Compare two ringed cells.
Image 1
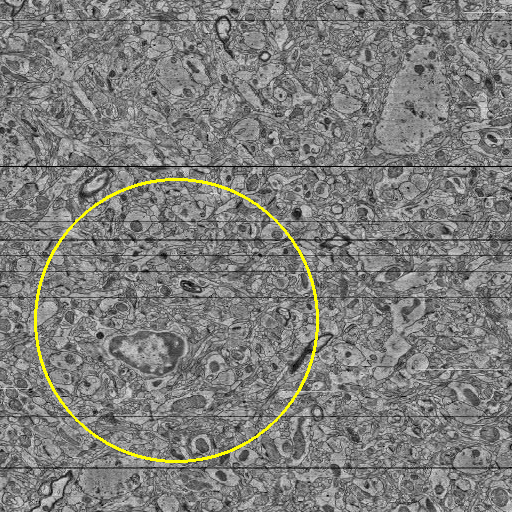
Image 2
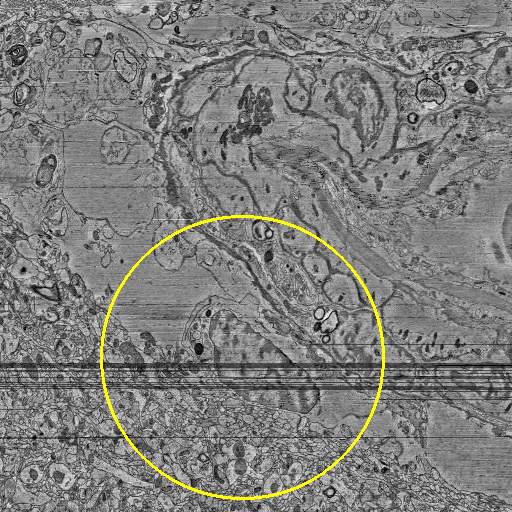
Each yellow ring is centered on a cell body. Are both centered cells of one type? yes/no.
yes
